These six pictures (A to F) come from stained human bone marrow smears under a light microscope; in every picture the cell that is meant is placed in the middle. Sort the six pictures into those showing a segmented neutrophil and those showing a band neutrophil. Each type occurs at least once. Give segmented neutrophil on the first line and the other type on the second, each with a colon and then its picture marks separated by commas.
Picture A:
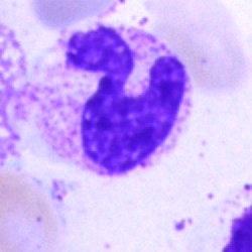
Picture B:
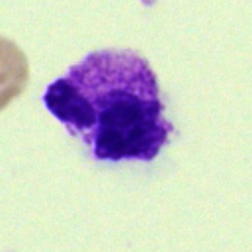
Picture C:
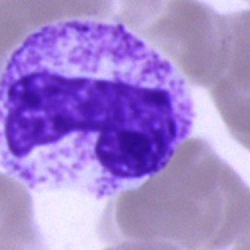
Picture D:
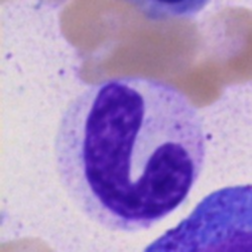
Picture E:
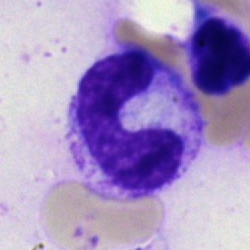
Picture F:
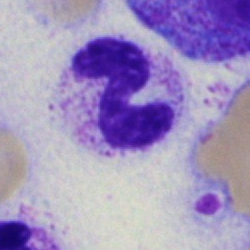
segmented neutrophil: A, B
band neutrophil: C, D, E, F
